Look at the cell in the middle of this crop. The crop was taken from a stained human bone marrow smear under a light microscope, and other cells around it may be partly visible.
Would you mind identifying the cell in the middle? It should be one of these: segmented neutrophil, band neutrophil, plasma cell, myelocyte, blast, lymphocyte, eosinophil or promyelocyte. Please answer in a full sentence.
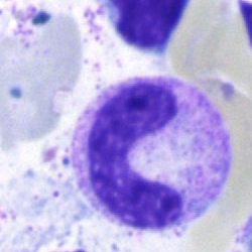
Within this crop, a band neutrophil occupies the central position.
